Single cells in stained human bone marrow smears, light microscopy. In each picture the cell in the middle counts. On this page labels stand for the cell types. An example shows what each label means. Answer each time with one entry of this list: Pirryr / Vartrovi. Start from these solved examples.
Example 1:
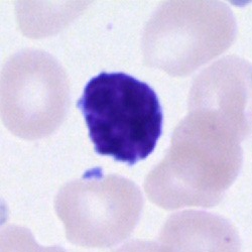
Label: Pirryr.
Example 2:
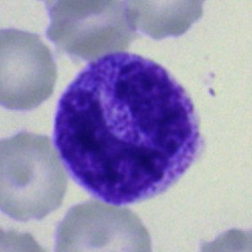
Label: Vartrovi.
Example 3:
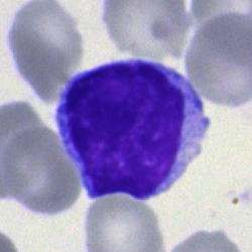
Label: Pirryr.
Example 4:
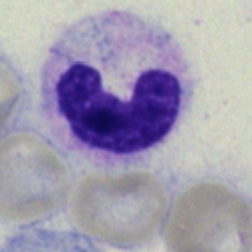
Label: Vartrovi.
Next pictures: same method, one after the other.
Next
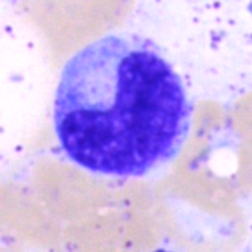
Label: Vartrovi.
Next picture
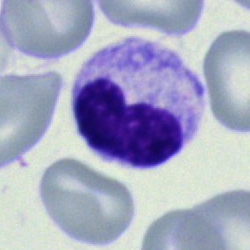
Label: Vartrovi.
